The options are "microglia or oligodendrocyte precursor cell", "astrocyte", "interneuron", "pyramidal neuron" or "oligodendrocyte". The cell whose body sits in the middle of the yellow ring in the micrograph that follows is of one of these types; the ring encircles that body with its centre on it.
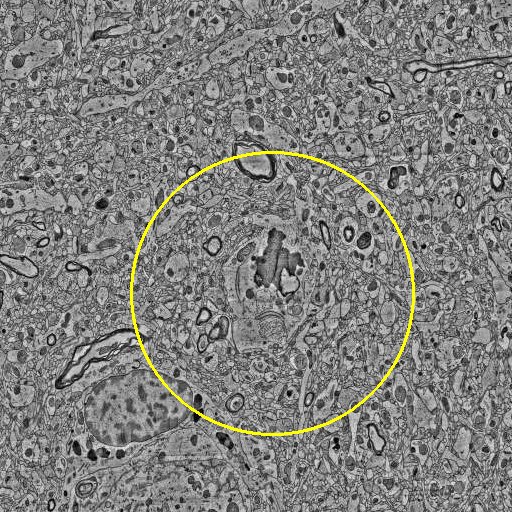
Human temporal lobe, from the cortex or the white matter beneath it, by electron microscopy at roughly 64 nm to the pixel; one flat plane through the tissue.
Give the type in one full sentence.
Going by the micrograph, the cell centred in the yellow ring is an astrocyte.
